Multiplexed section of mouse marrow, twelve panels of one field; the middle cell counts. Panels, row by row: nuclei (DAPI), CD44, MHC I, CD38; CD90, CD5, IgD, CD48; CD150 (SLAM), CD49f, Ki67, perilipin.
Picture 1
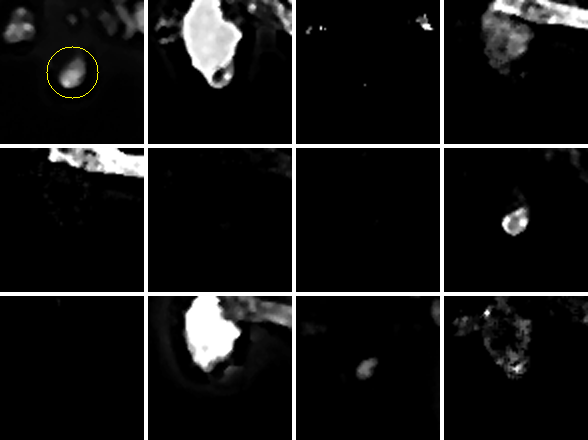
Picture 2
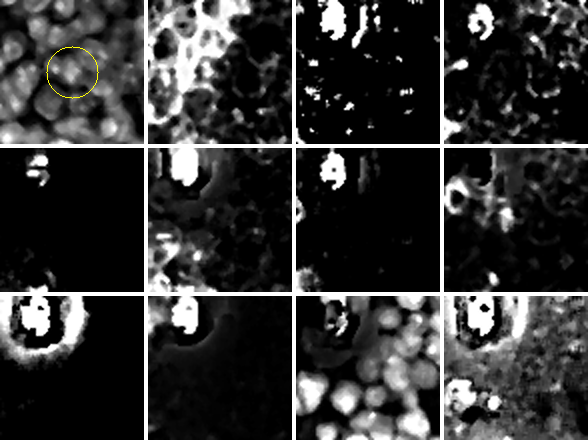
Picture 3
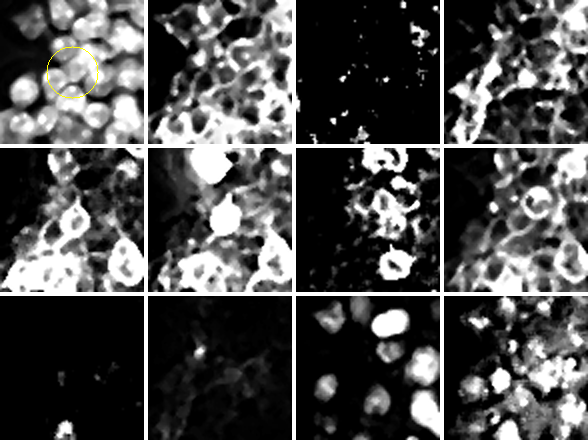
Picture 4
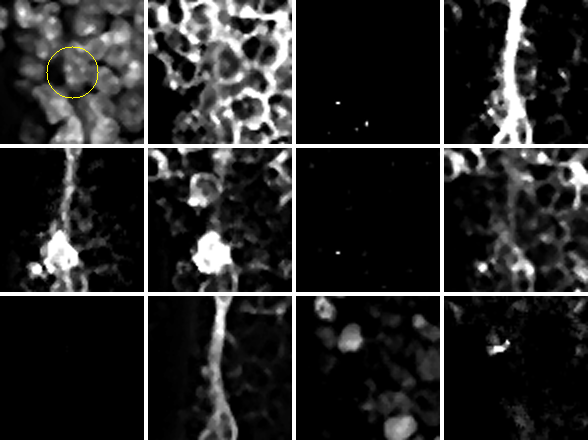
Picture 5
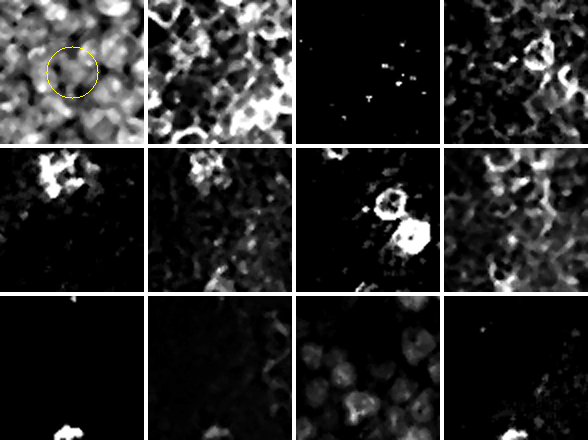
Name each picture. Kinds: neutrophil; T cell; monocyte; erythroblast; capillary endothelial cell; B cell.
(1) monocyte
(2) monocyte
(3) T cell
(4) capillary endothelial cell
(5) erythroblast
